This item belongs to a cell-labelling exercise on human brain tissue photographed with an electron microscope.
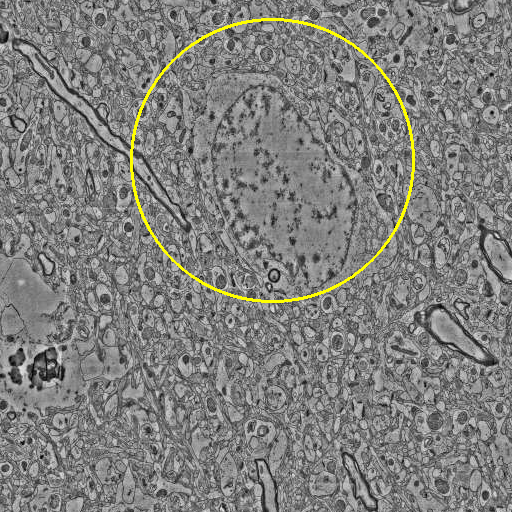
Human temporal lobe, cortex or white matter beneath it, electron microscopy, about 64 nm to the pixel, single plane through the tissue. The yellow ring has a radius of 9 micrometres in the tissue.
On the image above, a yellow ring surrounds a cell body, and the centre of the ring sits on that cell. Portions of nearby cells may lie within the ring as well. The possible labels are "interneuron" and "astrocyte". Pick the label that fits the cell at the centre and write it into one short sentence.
This cell should be labelled as an interneuron.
